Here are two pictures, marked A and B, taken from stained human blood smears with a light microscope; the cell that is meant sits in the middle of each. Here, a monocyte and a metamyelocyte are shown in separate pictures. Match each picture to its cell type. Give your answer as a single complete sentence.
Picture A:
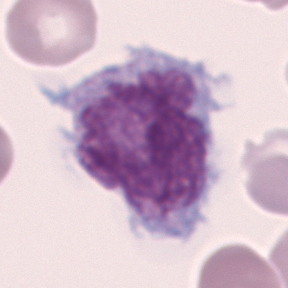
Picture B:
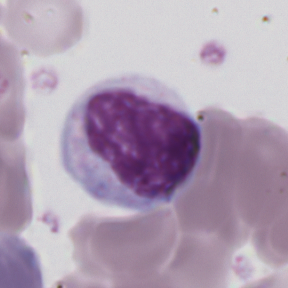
Picture B shows a metamyelocyte, while picture A shows a monocyte.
